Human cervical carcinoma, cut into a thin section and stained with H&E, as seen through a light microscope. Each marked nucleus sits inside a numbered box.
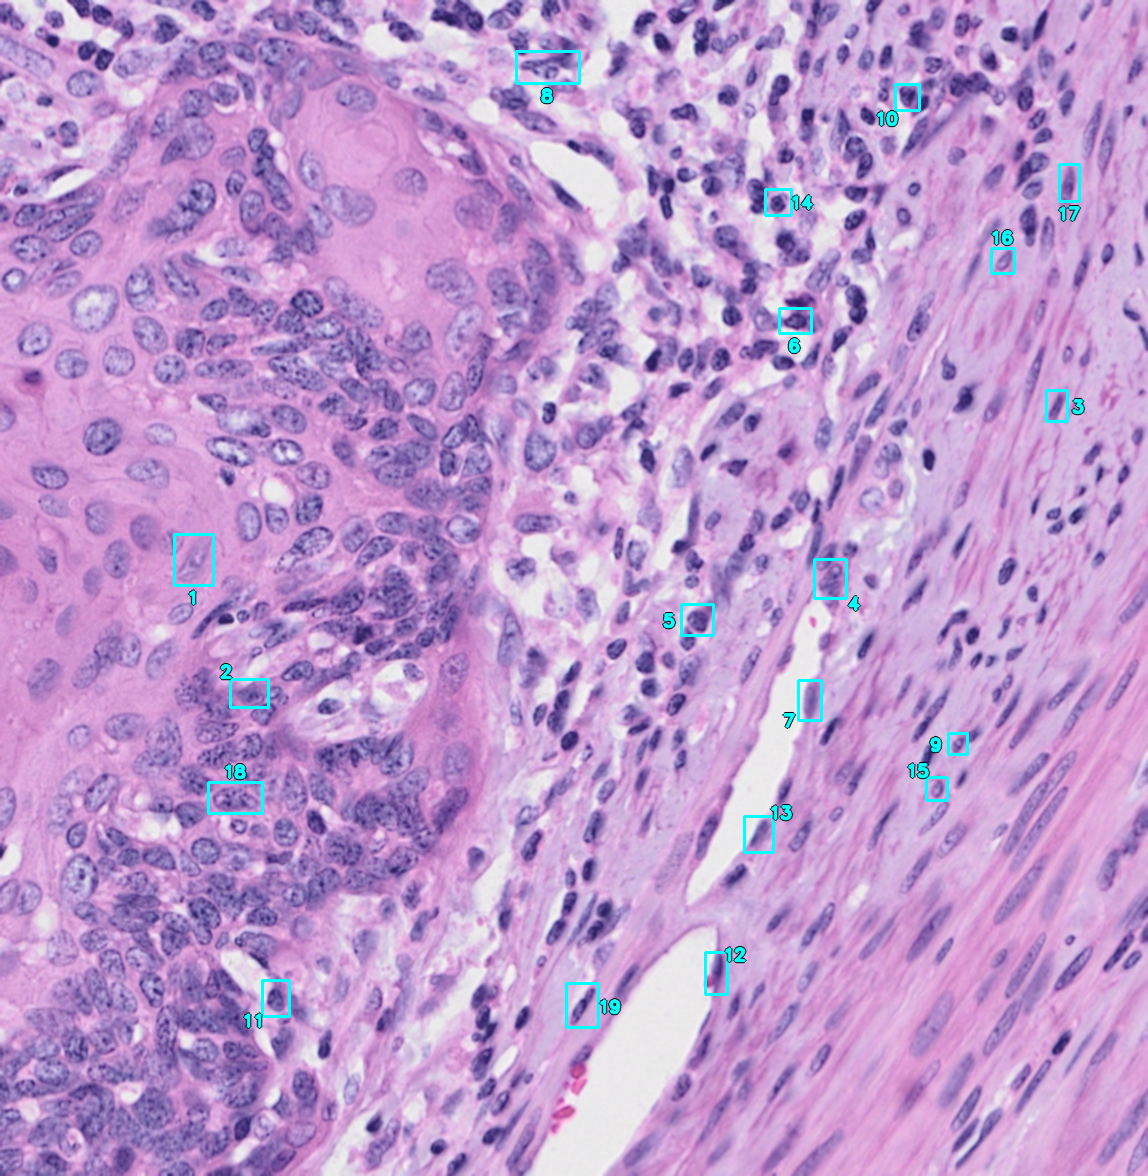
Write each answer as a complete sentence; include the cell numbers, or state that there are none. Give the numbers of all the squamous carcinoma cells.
The numbers 1, 2 and 18 mark cells that are squamous carcinoma cells.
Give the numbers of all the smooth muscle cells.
The cells given the numbers 3, 9, 15, 16 and 17 are smooth muscle cells.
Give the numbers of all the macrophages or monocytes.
There is not a single one of the macrophages or monocytes among the numbered cells.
